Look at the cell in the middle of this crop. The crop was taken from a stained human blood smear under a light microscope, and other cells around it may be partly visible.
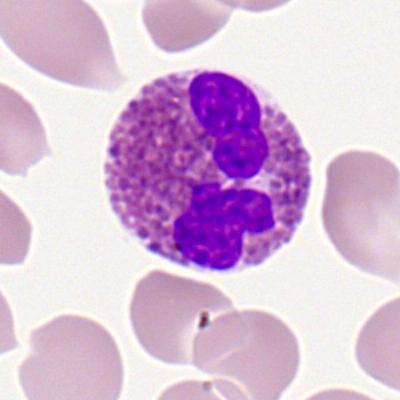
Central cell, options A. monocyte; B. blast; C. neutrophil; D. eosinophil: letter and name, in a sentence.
The cell right in the middle is an eosinophil, so option D is the one.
